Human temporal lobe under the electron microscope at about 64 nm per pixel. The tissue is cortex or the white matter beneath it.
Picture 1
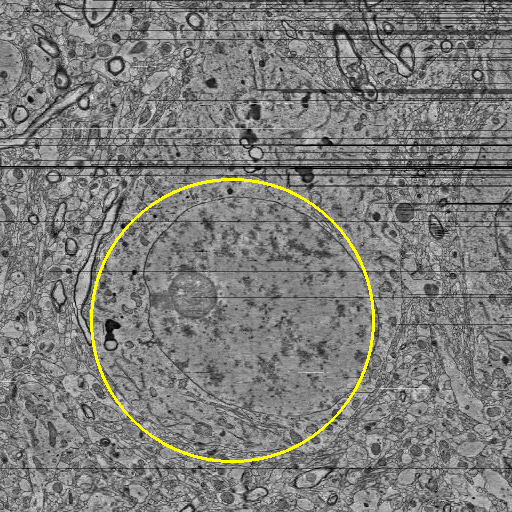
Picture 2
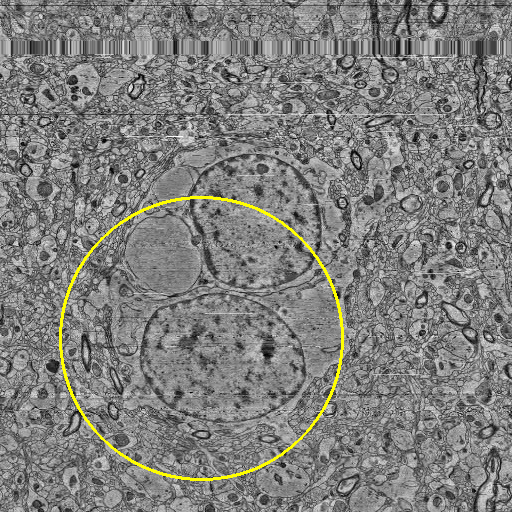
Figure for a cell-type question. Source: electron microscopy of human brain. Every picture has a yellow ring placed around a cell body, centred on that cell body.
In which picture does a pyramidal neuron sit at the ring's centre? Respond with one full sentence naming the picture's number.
The cell in the middle of the ring in picture 1 is the one sought.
